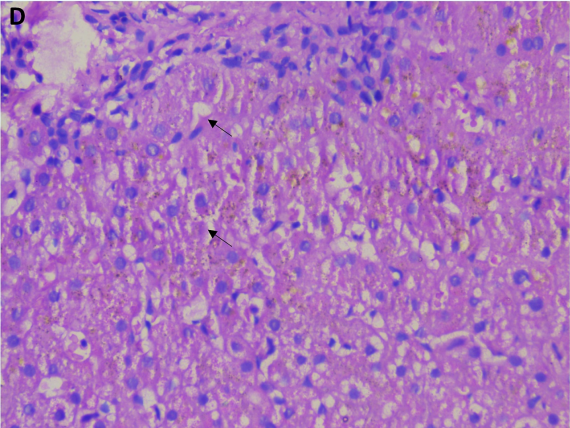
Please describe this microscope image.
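This is liver tissue with hepatocytes arranged in plates separated by widened sinusoids. The hepatocytes have pink granular cytoplasm and round central nuclei, and fine brownish granules are scattered through the field. The clear spaces between the cell plates are dilated, and a band of smaller cells with dark elongated nuclei runs across the top of the field.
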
